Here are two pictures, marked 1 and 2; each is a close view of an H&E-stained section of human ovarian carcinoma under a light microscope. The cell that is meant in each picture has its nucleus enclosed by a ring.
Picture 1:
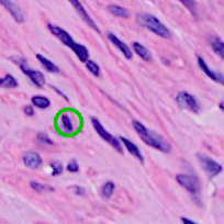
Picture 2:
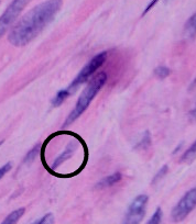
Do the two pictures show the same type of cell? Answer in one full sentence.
Yes, the two pictures both show smooth muscle cells.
